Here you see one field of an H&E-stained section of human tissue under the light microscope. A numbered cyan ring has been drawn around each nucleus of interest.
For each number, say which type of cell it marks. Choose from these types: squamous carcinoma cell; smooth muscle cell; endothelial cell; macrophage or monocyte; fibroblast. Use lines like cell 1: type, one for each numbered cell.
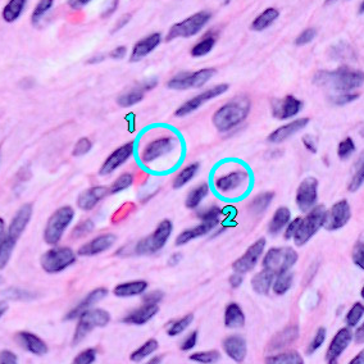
cell 1: endothelial cell
cell 2: fibroblast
